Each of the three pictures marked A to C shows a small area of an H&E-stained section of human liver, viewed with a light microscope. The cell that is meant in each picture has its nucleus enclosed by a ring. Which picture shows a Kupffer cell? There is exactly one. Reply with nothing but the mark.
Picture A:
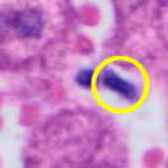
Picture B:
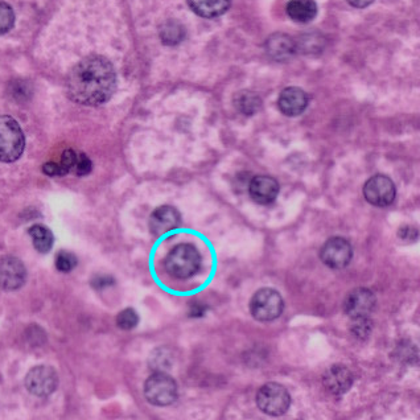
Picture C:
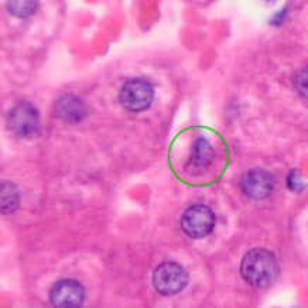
C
